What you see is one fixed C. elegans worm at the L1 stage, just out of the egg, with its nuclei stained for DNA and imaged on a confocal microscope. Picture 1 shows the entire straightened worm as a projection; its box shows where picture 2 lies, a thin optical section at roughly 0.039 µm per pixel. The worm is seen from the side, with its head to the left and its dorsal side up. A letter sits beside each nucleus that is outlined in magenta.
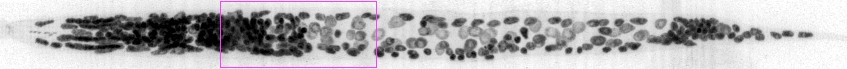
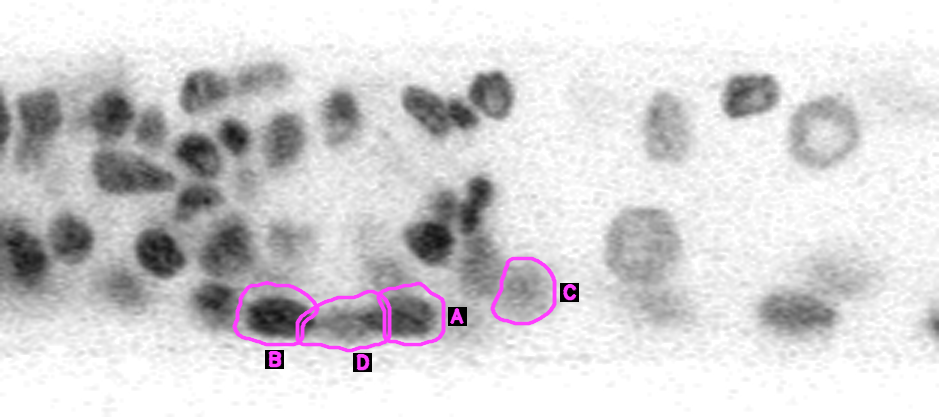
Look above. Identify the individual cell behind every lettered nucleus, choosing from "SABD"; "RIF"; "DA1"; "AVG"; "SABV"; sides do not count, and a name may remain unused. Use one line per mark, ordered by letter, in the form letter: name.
A: SABD
B: RIF
C: DA1
D: AVG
